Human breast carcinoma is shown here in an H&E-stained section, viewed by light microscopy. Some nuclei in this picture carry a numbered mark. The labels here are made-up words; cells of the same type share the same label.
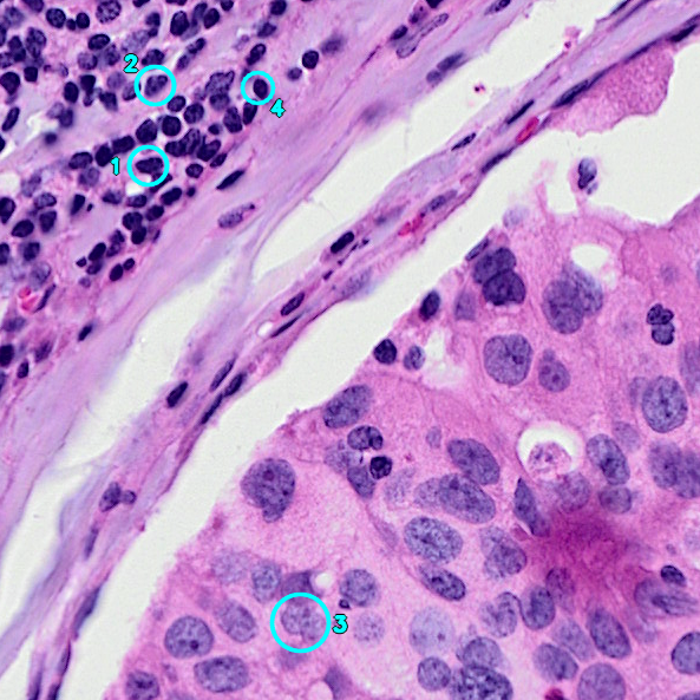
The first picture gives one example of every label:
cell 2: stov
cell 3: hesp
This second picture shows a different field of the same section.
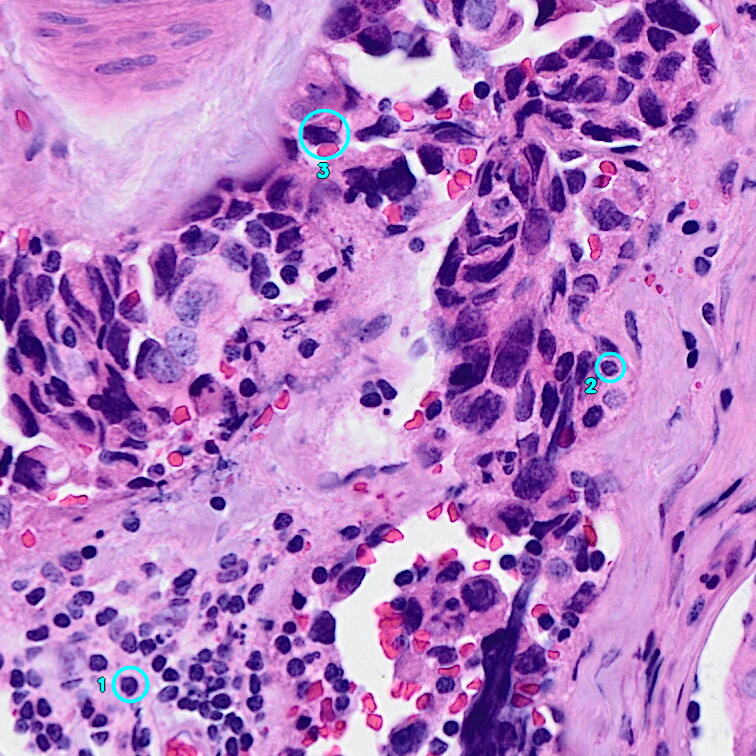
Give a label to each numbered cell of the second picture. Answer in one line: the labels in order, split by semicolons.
stov; stov; hesp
